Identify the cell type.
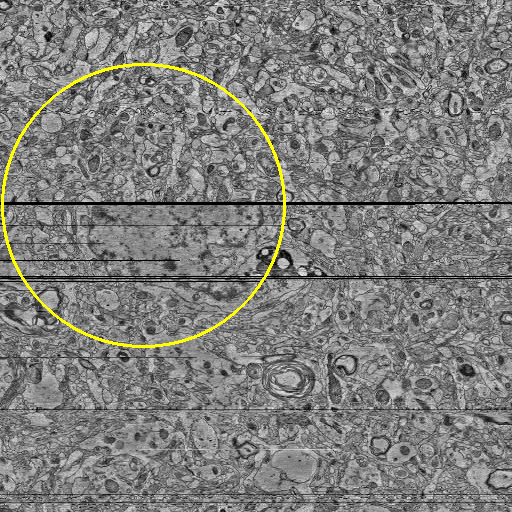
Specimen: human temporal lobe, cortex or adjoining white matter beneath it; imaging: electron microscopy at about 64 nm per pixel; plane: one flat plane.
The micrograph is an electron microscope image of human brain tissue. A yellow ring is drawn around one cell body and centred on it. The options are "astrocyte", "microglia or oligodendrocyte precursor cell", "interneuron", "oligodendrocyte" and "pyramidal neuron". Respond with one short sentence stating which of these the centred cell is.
The cell body in the ring belongs to an interneuron.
